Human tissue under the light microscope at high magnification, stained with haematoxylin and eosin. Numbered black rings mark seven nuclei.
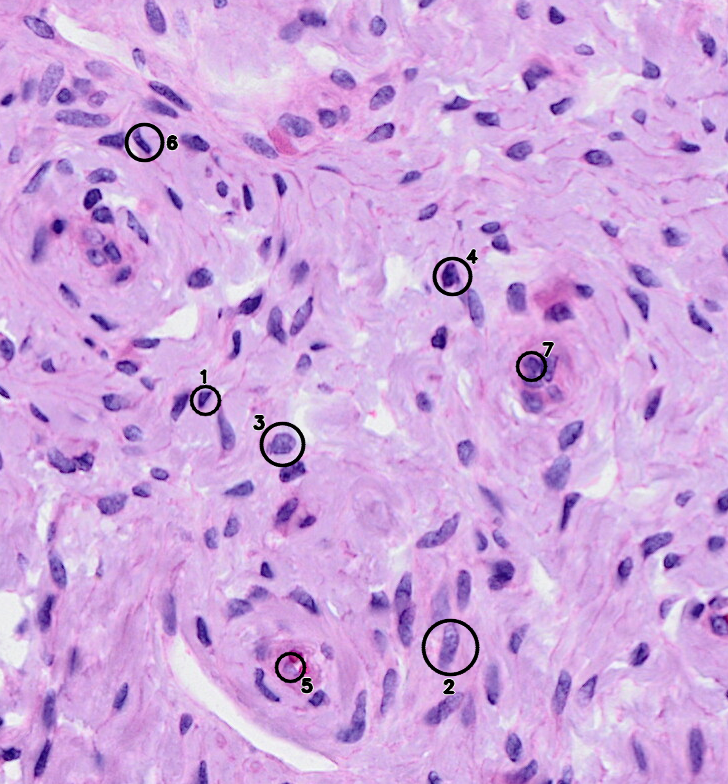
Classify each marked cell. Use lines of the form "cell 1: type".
cell 1: fibroblast
cell 2: fibroblast
cell 3: fibroblast
cell 4: lymphocyte
cell 5: endothelial cell
cell 6: fibroblast
cell 7: endothelial cell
